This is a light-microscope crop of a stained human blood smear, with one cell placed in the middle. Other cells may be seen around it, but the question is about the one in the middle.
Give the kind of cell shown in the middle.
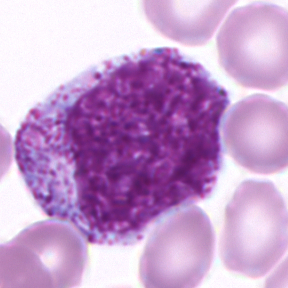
myelocyte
